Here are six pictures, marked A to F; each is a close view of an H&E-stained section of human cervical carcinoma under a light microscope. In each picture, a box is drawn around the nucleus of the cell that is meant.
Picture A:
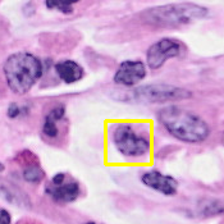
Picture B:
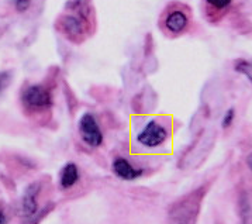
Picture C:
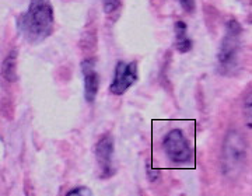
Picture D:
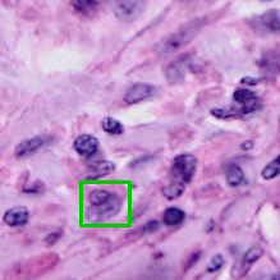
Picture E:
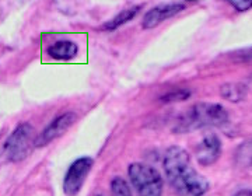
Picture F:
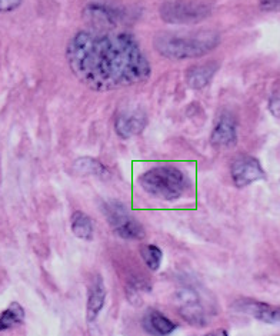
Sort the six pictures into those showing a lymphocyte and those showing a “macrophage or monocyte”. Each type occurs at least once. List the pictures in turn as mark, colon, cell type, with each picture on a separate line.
A: macrophage or monocyte
B: lymphocyte
C: macrophage or monocyte
D: macrophage or monocyte
E: lymphocyte
F: macrophage or monocyte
